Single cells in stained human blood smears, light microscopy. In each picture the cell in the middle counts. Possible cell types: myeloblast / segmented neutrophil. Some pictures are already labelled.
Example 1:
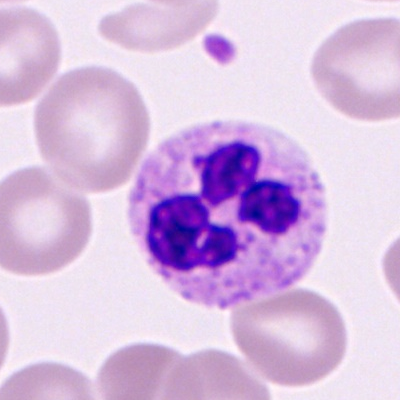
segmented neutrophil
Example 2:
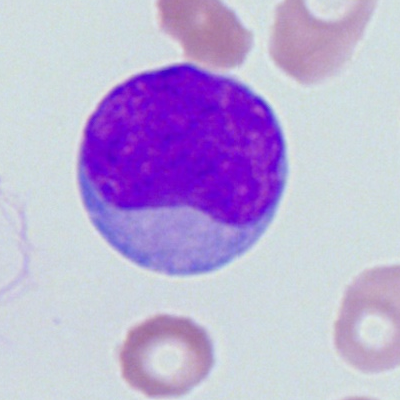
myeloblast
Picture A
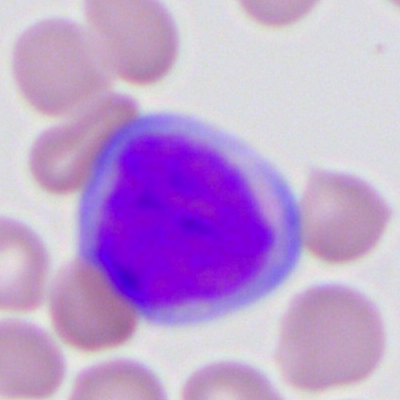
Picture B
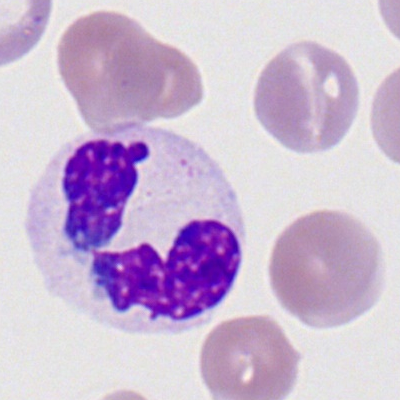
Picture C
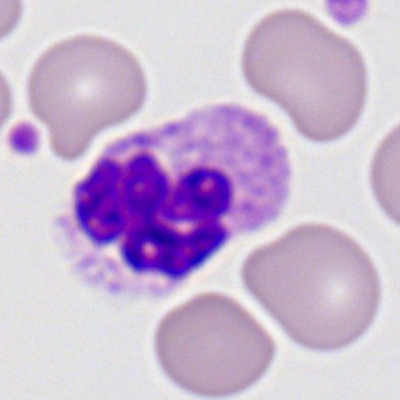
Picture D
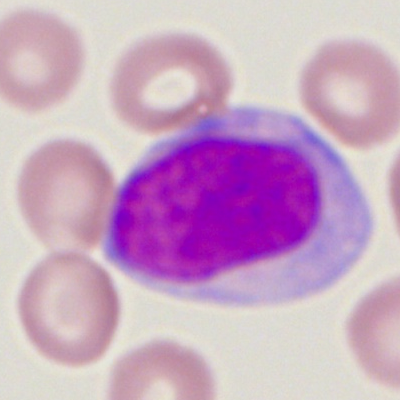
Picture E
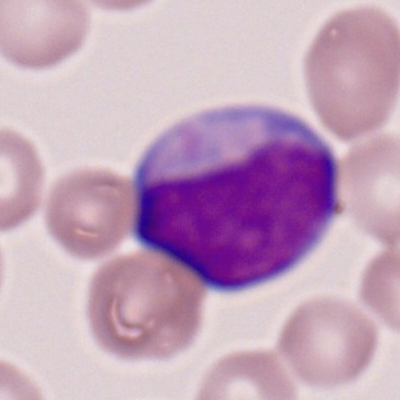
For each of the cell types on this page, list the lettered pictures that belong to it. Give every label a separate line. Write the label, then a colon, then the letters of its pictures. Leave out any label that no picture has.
myeloblast: A, D, E
segmented neutrophil: B, C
